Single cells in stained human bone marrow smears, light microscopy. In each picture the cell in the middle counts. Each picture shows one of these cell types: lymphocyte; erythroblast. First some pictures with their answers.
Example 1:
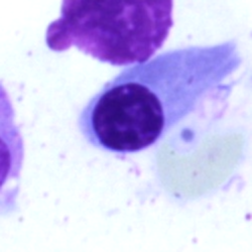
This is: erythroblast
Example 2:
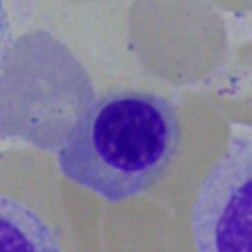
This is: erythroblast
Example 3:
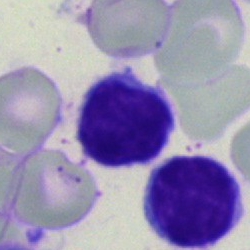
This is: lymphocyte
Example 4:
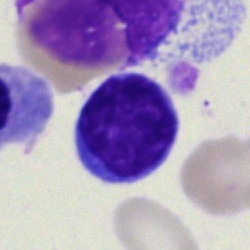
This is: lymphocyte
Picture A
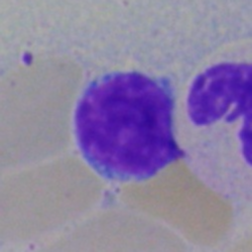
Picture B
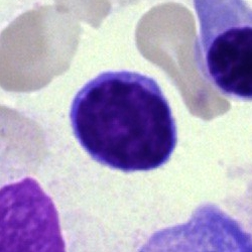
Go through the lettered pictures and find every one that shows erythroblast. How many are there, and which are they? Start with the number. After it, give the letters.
0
